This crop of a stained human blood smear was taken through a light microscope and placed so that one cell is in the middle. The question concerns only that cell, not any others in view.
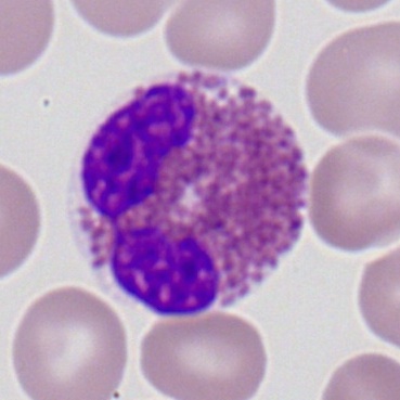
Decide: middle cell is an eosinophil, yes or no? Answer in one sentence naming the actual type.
Yes, within this crop, the central cell is an eosinophil.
